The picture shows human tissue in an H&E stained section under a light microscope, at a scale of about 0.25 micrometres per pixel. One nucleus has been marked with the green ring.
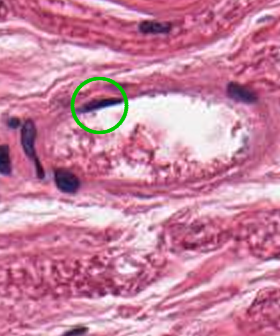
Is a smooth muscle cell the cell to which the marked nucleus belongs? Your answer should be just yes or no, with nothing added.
no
